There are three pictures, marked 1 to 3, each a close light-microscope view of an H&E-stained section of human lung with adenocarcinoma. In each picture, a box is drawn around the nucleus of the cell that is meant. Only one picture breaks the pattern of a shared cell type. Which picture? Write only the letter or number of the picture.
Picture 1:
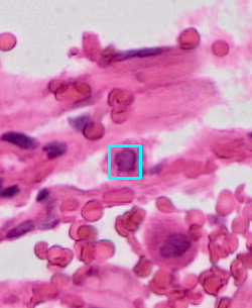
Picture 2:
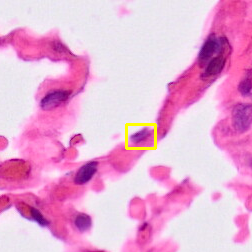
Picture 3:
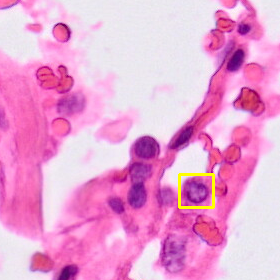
2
